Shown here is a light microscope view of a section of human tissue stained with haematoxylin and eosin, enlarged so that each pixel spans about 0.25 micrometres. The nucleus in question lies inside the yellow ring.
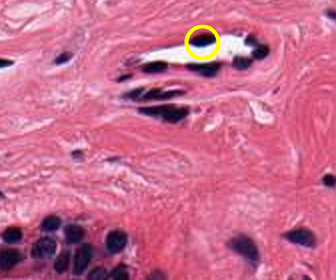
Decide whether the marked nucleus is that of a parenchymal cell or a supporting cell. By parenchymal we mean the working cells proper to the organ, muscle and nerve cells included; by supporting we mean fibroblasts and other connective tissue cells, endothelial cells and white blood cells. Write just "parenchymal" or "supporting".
supporting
